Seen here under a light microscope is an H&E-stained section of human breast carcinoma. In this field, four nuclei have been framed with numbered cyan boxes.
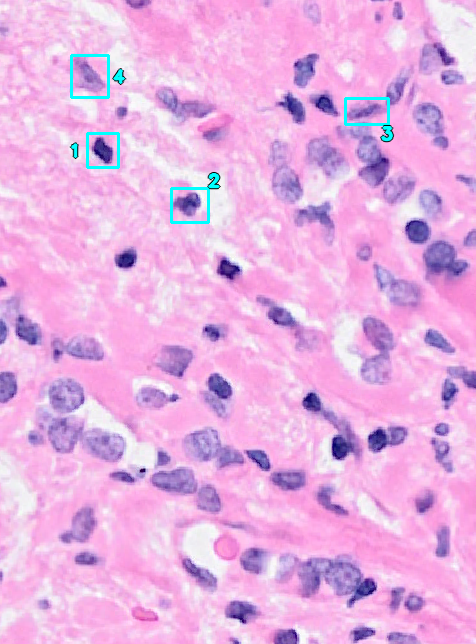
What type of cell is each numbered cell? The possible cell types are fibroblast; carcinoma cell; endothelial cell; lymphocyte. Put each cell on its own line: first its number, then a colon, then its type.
1: lymphocyte
2: lymphocyte
3: endothelial cell
4: fibroblast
